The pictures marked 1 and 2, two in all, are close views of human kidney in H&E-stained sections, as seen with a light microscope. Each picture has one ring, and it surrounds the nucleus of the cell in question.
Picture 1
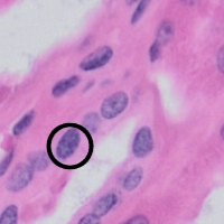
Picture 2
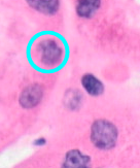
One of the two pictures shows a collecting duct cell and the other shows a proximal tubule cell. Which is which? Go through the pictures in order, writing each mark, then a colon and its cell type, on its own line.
1: collecting duct cell
2: proximal tubule cell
